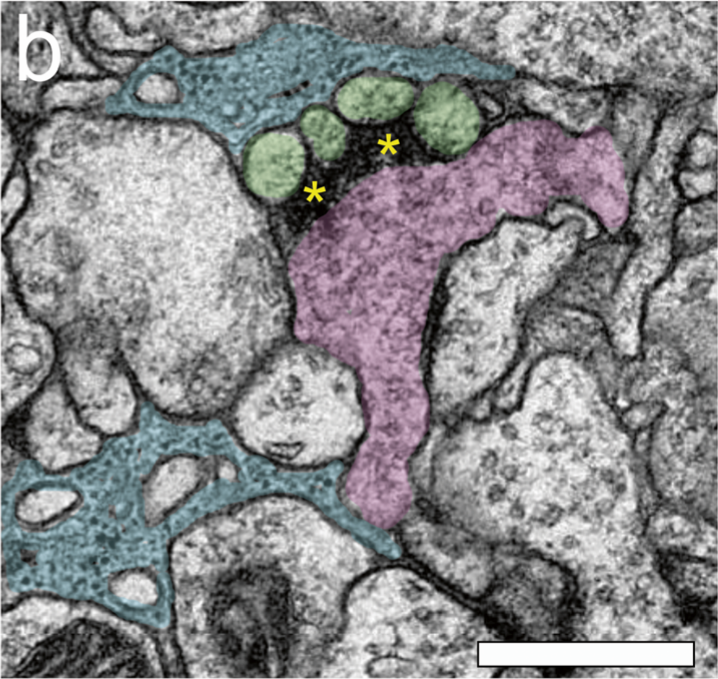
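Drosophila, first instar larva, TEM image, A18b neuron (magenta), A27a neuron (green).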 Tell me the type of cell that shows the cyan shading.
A: Astrocyte.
